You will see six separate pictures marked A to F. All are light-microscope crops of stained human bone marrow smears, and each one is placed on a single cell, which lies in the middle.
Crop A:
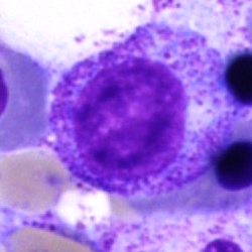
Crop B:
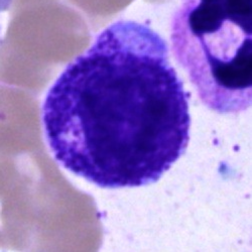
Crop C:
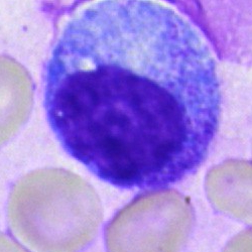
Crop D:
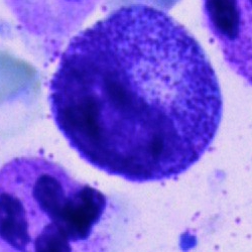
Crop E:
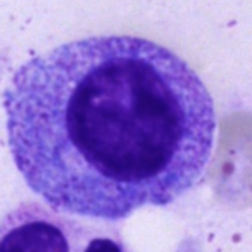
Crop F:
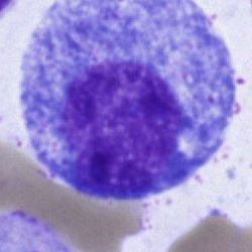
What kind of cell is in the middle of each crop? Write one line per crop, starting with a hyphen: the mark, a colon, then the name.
- A: myelocyte
- B: promyelocyte
- C: promyelocyte
- D: myelocyte
- E: promyelocyte
- F: promyelocyte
